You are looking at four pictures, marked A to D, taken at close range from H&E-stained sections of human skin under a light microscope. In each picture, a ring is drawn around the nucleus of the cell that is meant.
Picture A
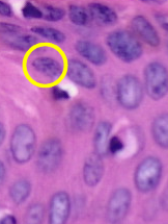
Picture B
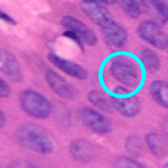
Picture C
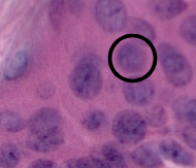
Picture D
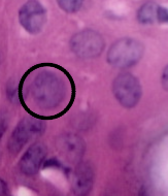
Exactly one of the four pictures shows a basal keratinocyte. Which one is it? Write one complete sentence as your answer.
Picture A shows the basal keratinocyte.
